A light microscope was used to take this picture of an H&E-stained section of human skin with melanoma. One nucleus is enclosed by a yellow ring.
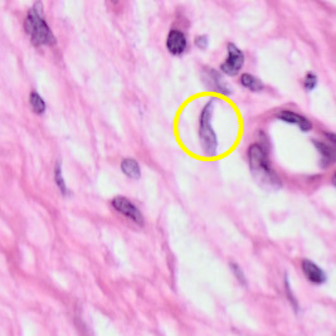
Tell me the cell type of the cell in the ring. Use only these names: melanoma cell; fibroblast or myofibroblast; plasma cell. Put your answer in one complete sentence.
This is a fibroblast or myofibroblast.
